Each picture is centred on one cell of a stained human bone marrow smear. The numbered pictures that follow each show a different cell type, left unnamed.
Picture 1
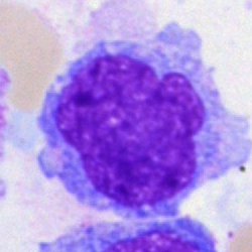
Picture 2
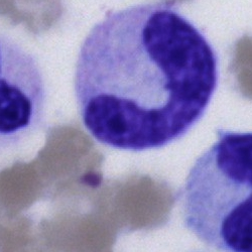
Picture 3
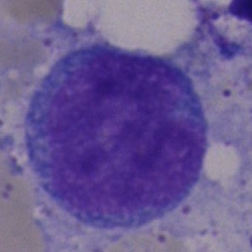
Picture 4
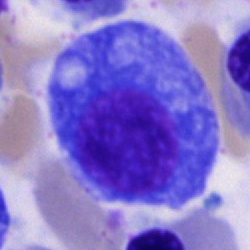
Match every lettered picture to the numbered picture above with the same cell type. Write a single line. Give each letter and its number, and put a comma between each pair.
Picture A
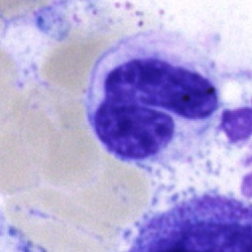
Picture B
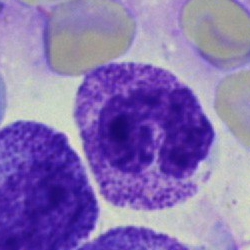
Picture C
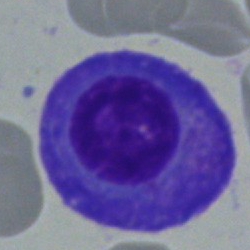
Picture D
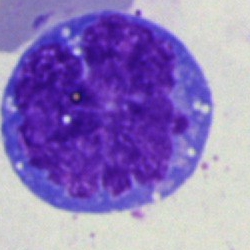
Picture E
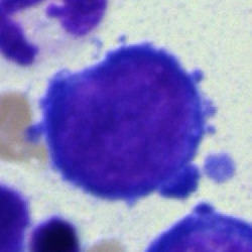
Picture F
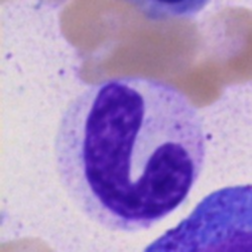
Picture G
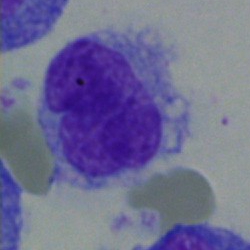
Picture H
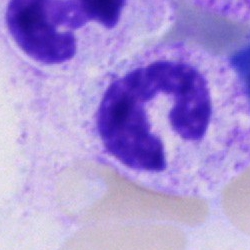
A 2, B 2, C 4, D 1, E 3, F 2, G 1, H 2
